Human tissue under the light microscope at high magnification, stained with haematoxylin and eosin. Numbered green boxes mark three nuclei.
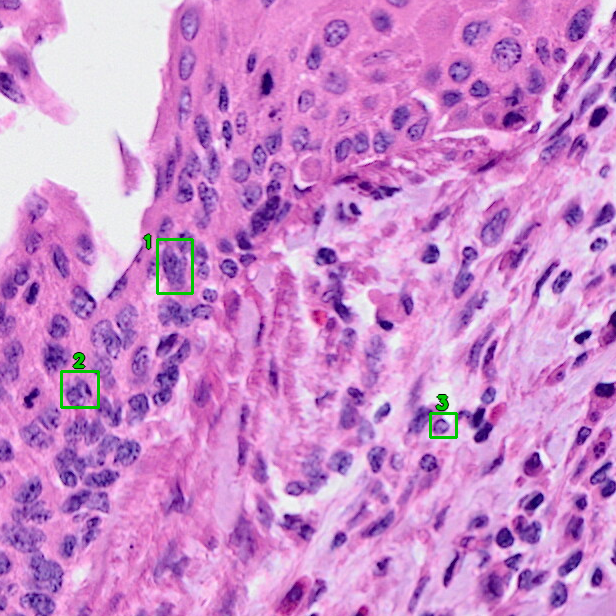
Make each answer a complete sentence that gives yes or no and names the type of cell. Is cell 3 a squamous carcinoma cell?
No, cell 3 is a lymphocyte; it is not a squamous carcinoma cell.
